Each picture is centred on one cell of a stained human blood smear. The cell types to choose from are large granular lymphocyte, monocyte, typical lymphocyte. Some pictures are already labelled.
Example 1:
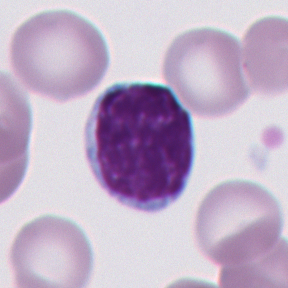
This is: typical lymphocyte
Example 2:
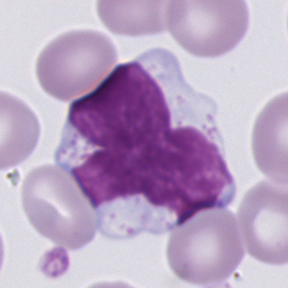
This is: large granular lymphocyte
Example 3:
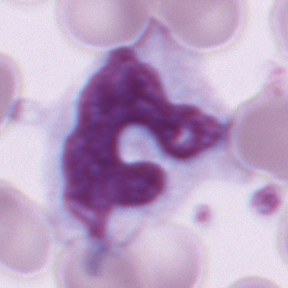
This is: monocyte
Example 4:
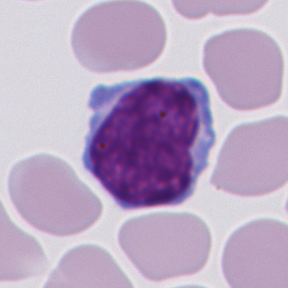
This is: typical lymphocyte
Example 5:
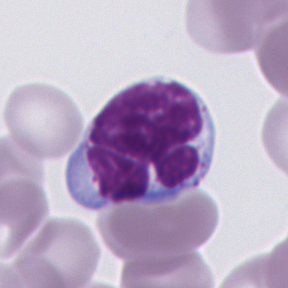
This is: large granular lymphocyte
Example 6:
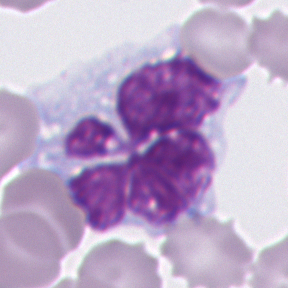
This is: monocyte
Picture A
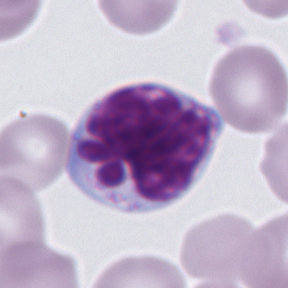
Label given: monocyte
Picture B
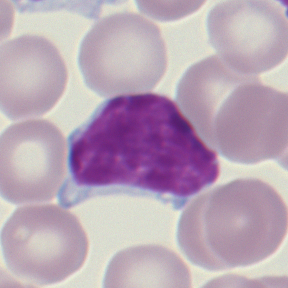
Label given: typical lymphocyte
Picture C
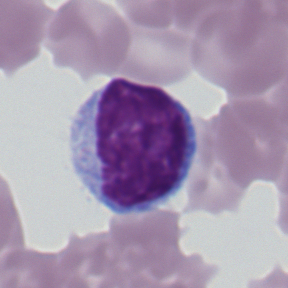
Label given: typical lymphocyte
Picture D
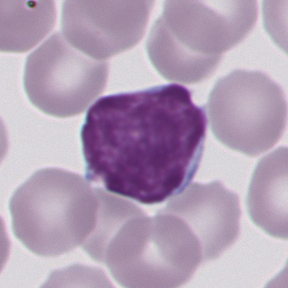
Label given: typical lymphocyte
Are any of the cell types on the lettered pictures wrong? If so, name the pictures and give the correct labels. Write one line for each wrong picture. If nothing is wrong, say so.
A: not monocyte but large granular lymphocyte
